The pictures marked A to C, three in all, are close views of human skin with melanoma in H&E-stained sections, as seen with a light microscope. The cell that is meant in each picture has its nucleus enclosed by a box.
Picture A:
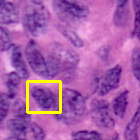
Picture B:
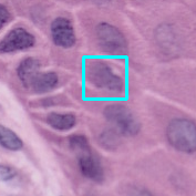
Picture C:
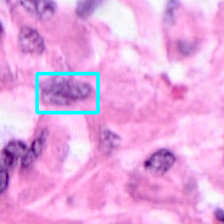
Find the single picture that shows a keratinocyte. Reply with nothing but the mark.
B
